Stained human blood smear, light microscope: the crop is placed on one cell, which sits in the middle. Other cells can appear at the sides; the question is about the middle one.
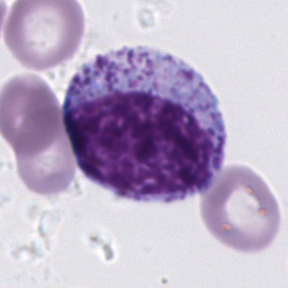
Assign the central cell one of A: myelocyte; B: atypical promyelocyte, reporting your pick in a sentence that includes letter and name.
Given that the cell in the middle is a myelocyte, option A is correct.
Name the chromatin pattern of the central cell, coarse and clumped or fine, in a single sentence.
Its nuclear chromatin is gathered into coarse clumps.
